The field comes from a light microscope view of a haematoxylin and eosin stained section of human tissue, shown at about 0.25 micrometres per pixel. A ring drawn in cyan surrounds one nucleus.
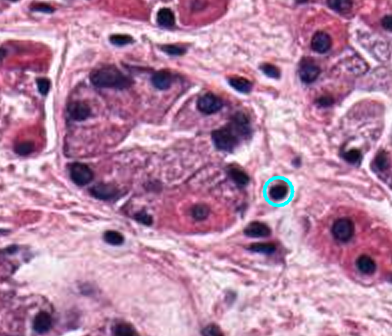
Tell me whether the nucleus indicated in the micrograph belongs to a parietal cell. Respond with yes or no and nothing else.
no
